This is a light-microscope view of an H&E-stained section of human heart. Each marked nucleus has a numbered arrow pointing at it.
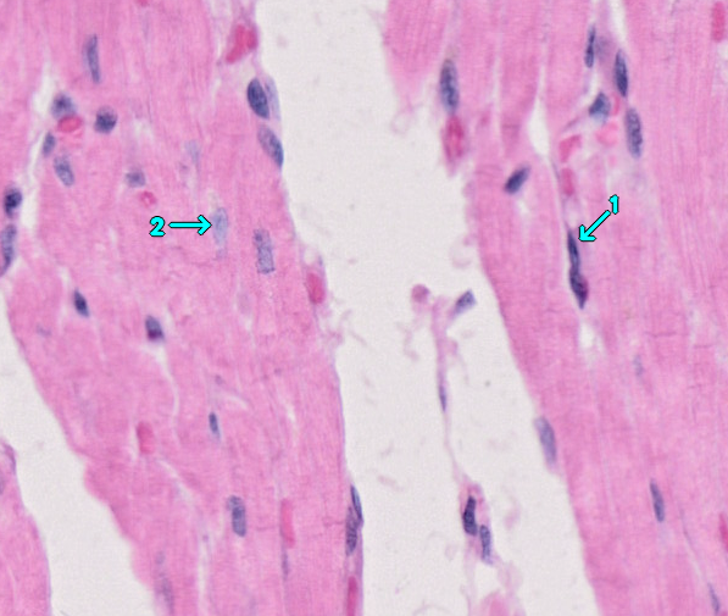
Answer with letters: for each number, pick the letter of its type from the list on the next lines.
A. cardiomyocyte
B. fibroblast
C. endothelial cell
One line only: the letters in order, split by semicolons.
C; A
